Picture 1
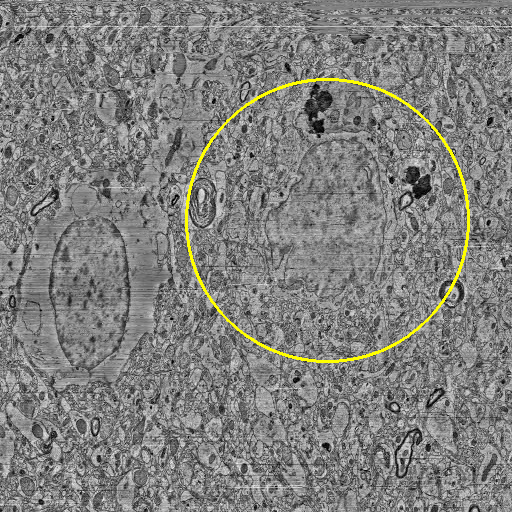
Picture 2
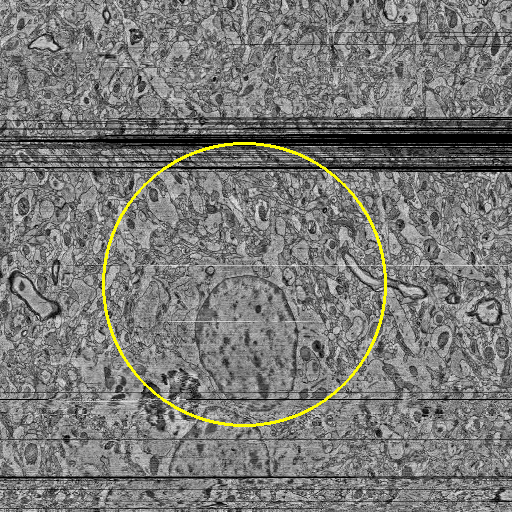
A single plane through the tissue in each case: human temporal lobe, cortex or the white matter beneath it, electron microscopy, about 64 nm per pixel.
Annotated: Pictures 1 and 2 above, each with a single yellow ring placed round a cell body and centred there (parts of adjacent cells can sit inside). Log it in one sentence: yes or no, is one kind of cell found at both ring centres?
No, the ring centres of the two pictures hold cells of two kinds.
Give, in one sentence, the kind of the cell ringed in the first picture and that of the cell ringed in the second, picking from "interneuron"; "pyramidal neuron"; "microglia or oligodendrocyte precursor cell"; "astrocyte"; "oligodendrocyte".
For the first picture it is an interneuron; for the second, an astrocyte.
